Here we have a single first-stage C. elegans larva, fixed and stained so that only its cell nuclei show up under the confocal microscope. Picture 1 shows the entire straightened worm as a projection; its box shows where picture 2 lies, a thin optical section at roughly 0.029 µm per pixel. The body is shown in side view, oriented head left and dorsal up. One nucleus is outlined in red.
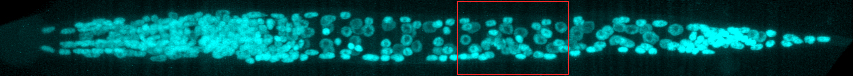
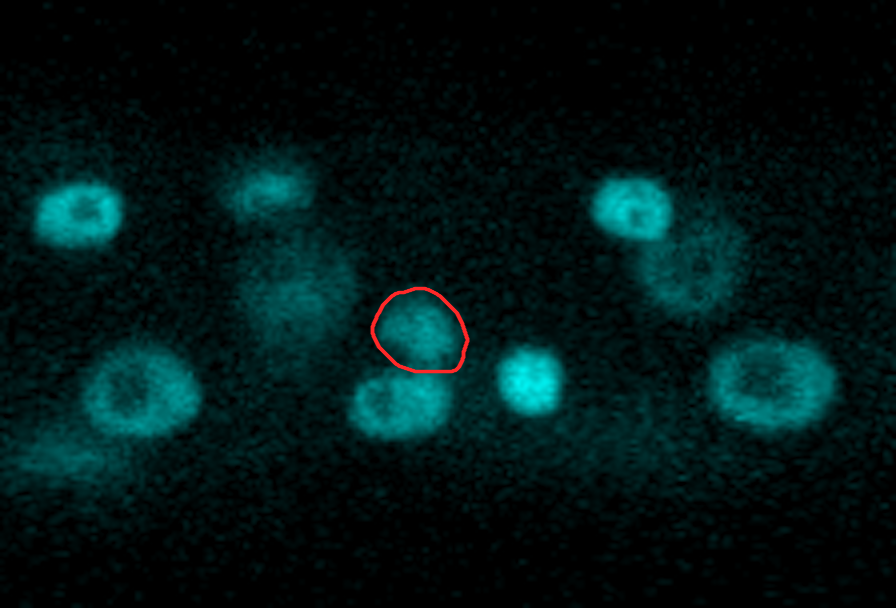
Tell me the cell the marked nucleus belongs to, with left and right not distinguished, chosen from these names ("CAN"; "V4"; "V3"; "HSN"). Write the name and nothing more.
CAN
